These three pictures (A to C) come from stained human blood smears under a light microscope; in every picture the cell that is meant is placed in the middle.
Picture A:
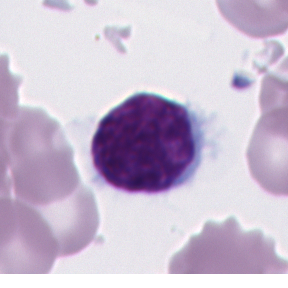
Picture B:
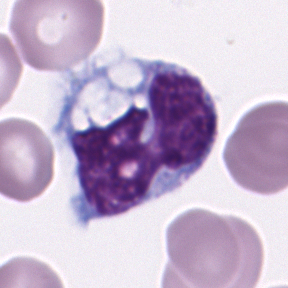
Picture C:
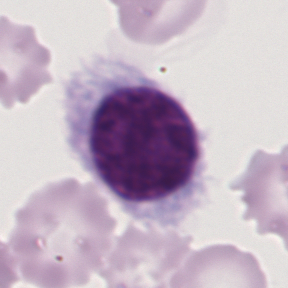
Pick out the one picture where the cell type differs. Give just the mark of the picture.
B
